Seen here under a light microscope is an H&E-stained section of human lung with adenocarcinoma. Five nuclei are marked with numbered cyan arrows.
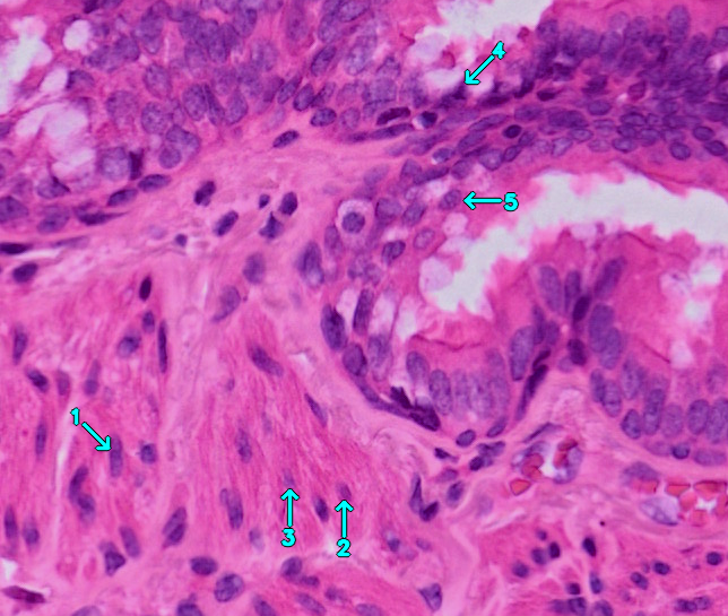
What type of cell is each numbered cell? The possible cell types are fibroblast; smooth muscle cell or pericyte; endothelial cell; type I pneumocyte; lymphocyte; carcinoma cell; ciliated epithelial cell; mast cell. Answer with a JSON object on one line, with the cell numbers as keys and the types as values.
{"1": "smooth muscle cell or pericyte", "2": "smooth muscle cell or pericyte", "3": "smooth muscle cell or pericyte", "4": "ciliated epithelial cell", "5": "ciliated epithelial cell"}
